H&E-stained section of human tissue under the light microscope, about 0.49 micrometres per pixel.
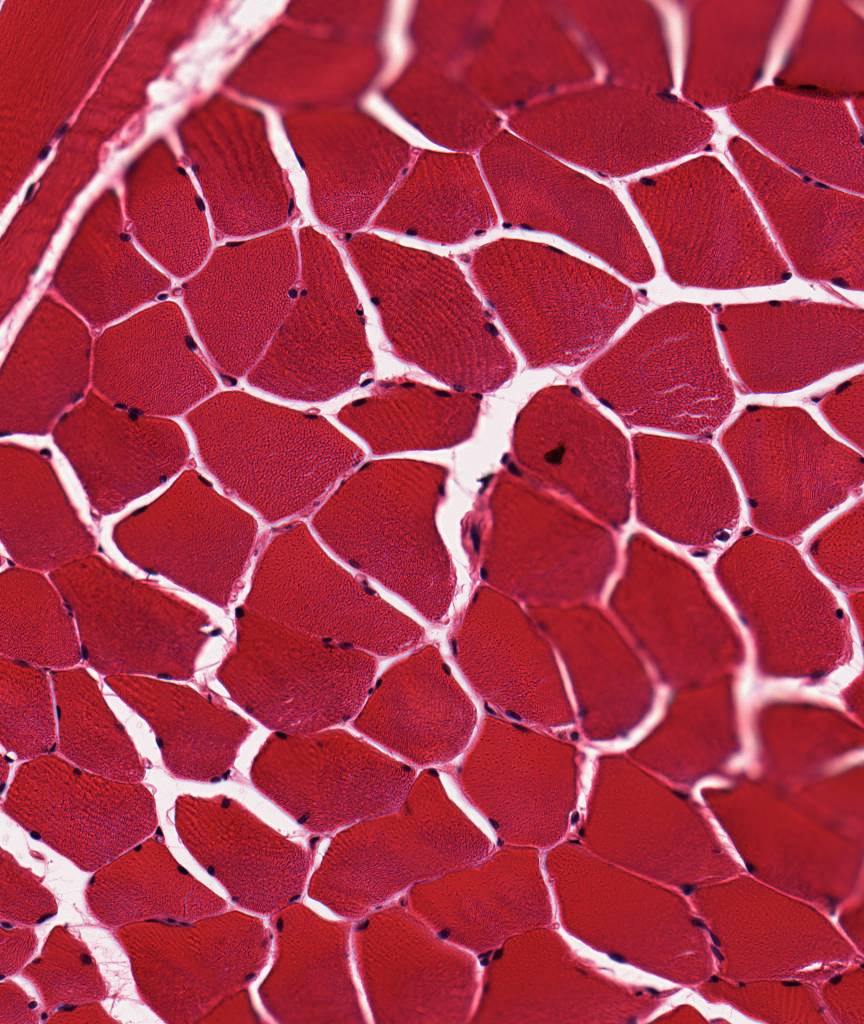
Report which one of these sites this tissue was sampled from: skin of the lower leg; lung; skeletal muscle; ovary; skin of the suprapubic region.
skeletal muscle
